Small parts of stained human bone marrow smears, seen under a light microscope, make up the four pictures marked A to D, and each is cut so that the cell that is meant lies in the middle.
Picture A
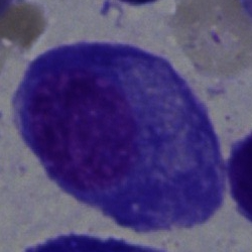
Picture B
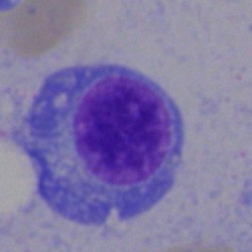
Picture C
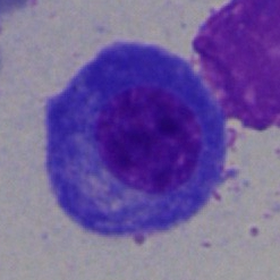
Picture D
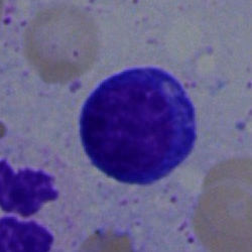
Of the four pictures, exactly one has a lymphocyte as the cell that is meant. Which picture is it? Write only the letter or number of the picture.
D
